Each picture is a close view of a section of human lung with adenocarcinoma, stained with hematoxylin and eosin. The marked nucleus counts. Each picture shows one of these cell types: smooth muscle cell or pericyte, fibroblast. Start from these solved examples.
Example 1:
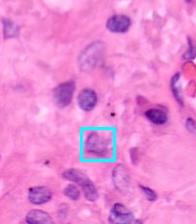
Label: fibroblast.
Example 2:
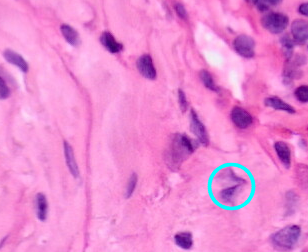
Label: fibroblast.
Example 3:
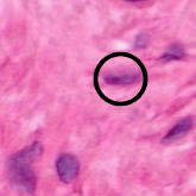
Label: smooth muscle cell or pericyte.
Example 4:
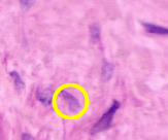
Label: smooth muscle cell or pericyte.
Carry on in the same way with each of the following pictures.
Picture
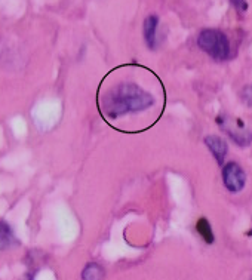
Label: fibroblast.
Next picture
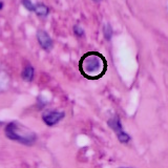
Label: smooth muscle cell or pericyte.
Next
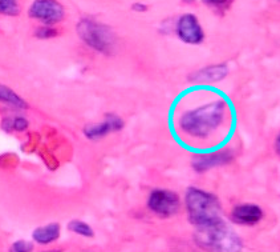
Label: fibroblast.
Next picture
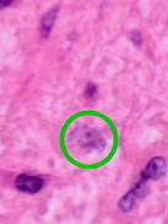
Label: fibroblast.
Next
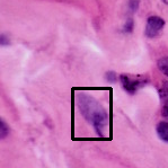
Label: fibroblast.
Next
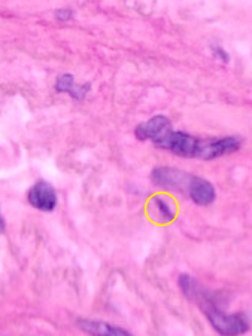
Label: smooth muscle cell or pericyte.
